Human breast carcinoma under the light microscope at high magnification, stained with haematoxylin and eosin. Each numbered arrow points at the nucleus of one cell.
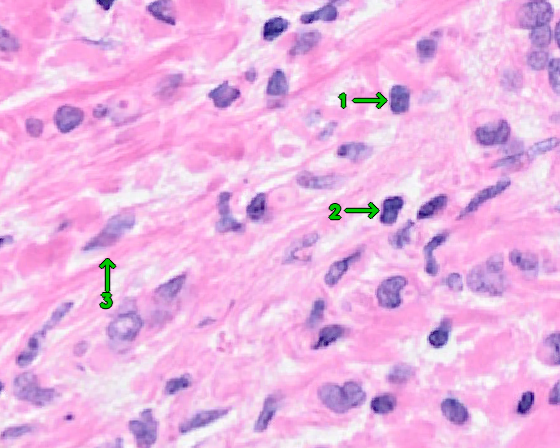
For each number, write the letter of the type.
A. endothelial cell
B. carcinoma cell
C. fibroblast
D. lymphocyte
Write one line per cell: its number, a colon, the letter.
1: D
2: D
3: C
